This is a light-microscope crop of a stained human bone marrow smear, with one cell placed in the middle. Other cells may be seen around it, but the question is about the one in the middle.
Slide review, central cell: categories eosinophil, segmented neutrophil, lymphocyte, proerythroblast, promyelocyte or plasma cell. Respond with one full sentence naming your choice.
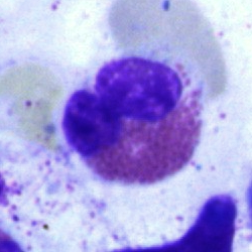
In the middle of this smear crop, the cell is an eosinophil.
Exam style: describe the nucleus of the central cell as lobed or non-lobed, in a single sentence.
Nuclear material here is separated into two or more segments.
